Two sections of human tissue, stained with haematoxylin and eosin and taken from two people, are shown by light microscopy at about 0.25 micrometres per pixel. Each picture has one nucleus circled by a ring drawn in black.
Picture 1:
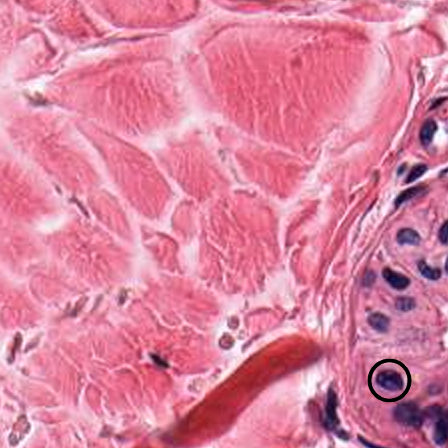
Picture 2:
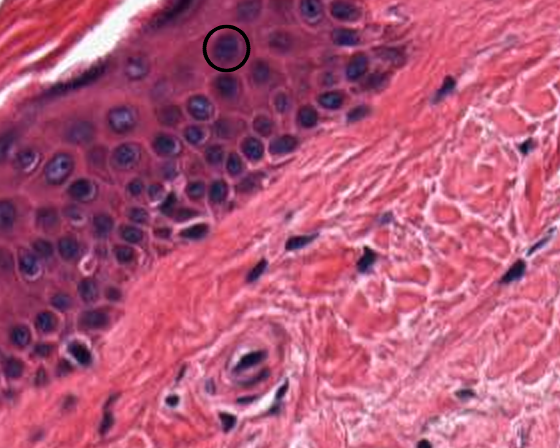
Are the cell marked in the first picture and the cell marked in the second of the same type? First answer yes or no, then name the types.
No, the first is a sweat gland cell and the second a keratinocyte.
